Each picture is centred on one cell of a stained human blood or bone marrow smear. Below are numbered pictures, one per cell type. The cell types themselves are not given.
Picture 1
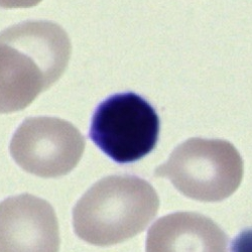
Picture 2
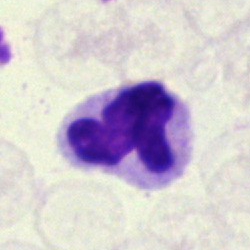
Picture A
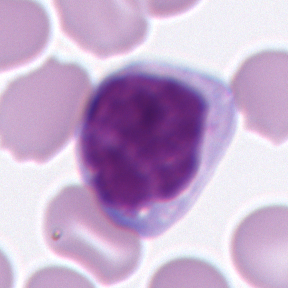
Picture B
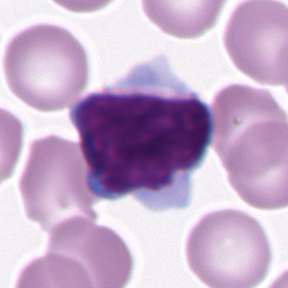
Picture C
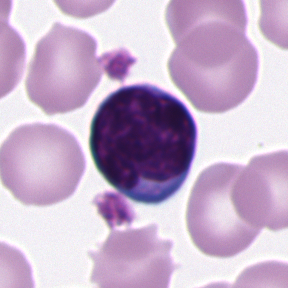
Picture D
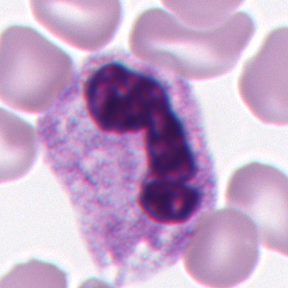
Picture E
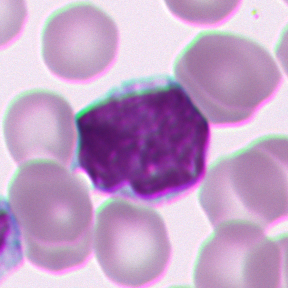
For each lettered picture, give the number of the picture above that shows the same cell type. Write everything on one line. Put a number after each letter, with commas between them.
A 1, B 1, C 1, D 2, E 1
